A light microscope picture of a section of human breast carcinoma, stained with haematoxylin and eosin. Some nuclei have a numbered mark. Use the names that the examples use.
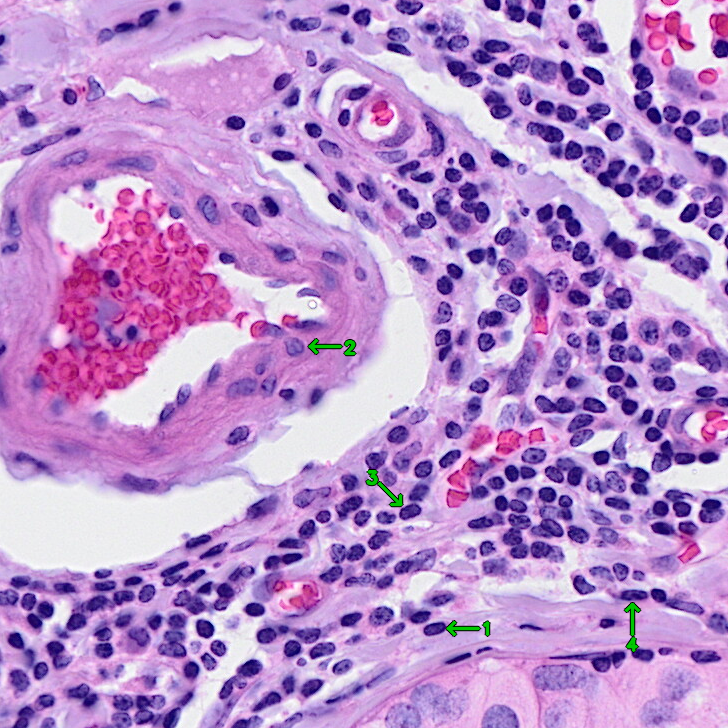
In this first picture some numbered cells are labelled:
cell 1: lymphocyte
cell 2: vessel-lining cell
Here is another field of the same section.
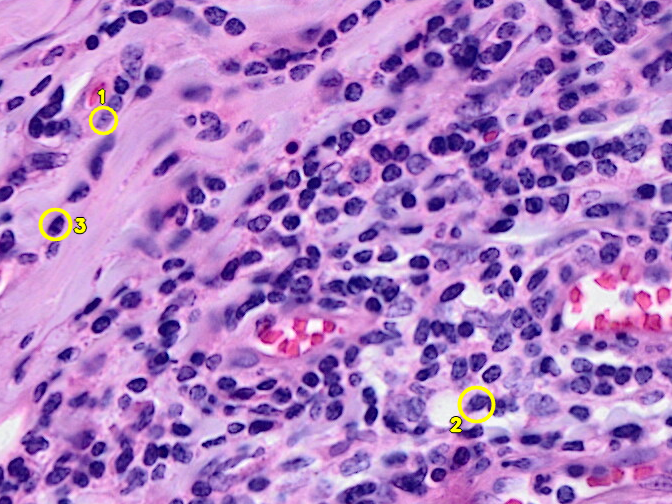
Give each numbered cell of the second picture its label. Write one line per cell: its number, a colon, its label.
1: vessel-lining cell
2: lymphocyte
3: lymphocyte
